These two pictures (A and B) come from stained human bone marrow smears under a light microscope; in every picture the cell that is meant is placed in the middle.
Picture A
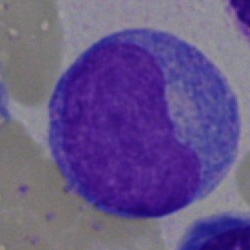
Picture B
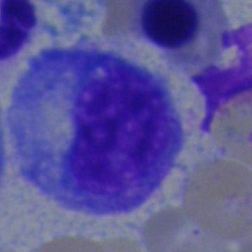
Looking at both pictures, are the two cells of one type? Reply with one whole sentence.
Yes, they are the same type: both are promyelocytes.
